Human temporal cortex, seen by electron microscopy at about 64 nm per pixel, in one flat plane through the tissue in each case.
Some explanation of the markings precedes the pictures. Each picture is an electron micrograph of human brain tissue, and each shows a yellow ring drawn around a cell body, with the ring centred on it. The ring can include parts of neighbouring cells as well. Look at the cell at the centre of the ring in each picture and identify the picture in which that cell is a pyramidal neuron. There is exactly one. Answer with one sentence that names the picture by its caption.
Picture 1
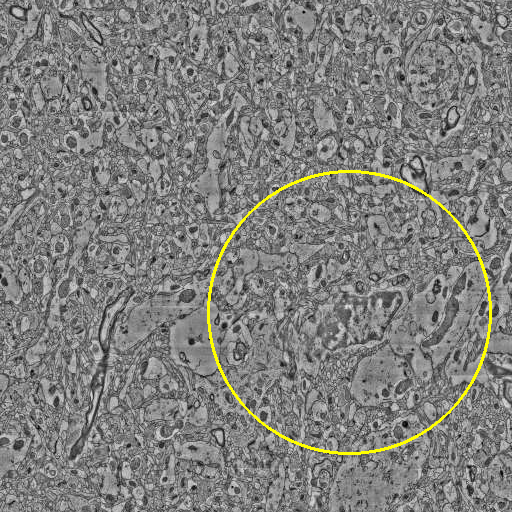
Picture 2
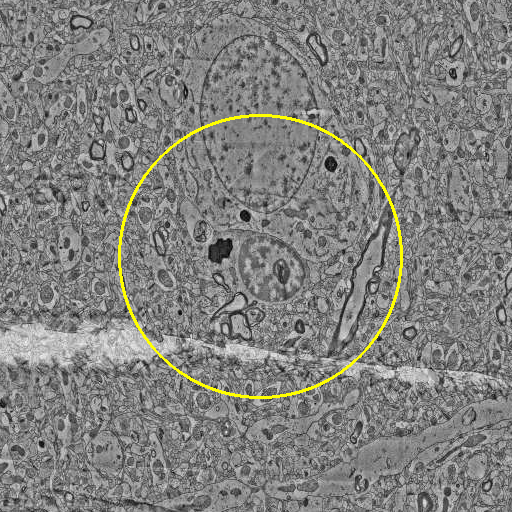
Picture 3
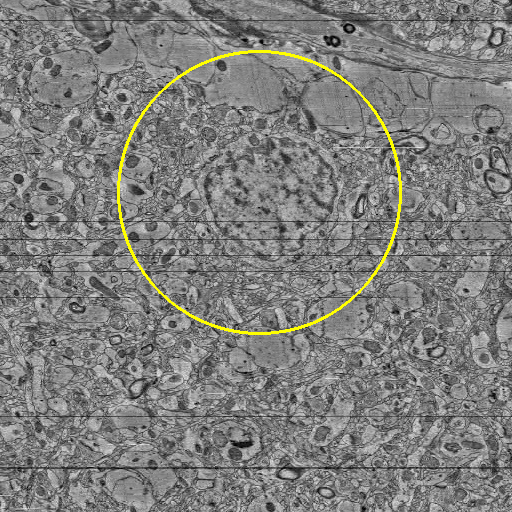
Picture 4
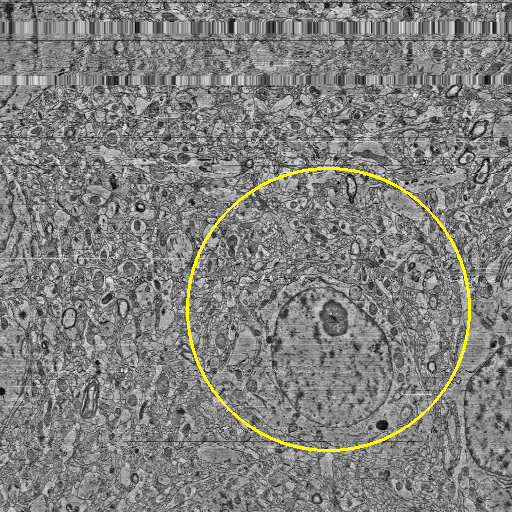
In Picture 4, the cell at the centre of the ring is of that kind.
